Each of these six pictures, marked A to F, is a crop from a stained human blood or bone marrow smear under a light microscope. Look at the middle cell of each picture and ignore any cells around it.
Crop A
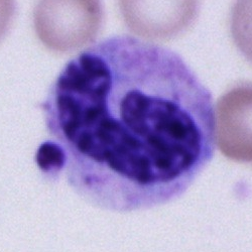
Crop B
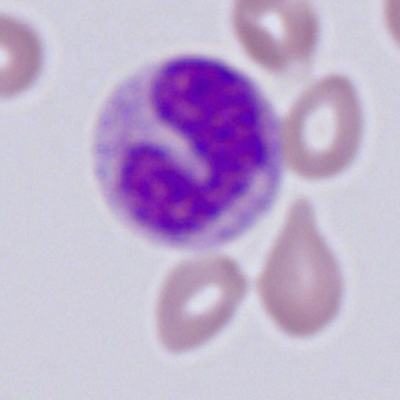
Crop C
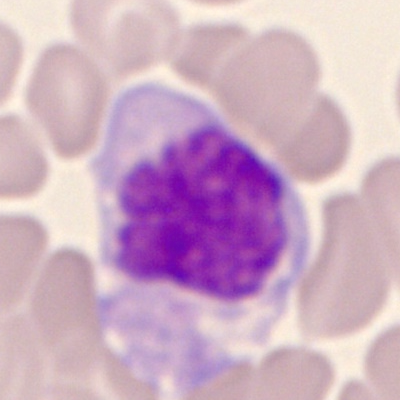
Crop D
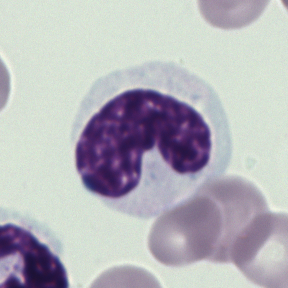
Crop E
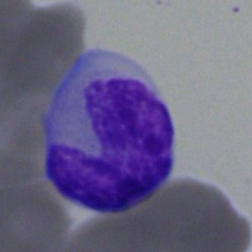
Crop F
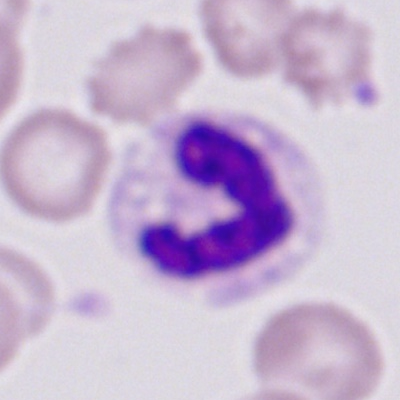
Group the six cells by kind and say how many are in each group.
band neutrophil: 4
monocyte: 2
